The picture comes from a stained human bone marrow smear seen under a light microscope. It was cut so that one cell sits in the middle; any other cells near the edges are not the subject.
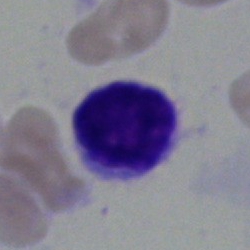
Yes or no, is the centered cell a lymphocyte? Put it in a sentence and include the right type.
Yes, the middle of the crop is occupied by a lymphocyte.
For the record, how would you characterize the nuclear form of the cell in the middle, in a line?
Just one compact nuclear mass here, round, oval or kidney-shaped.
